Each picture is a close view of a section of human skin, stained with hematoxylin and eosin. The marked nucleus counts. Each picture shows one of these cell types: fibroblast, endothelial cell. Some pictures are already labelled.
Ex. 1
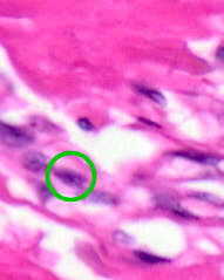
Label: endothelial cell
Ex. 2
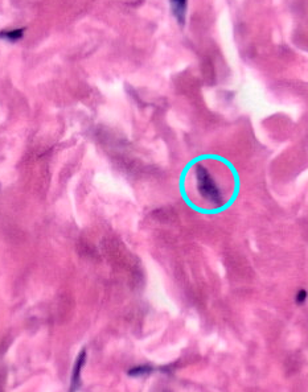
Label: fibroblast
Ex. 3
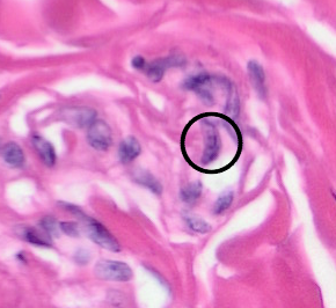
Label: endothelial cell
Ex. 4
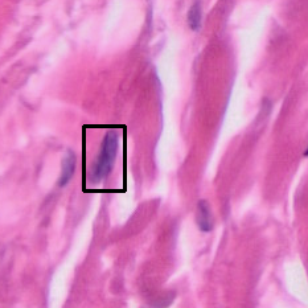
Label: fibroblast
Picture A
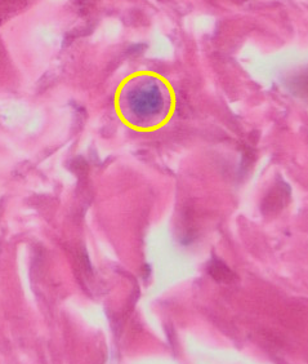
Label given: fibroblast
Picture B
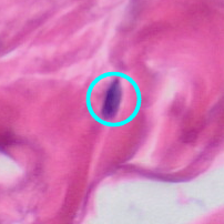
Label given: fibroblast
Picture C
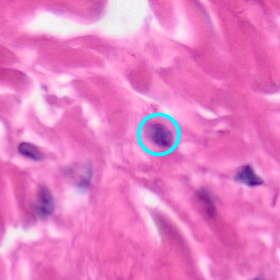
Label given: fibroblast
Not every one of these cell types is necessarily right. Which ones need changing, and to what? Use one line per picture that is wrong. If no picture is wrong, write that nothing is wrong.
Nothing to fix; every label fits.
